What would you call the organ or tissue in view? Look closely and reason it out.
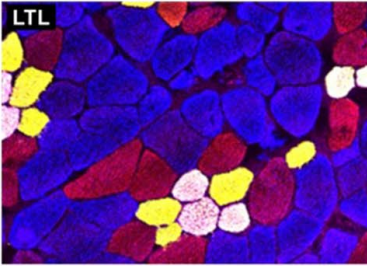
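Skeletal muscles. Tightly packed polygonal profiles of cells cut in cross-section. Thin dark spaces separate the neighbouring profiles. Profiles differ in colour and size in a mosaic pattern.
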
